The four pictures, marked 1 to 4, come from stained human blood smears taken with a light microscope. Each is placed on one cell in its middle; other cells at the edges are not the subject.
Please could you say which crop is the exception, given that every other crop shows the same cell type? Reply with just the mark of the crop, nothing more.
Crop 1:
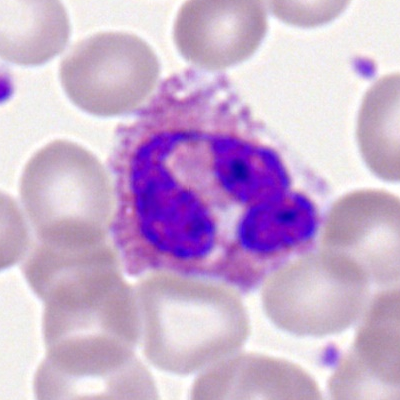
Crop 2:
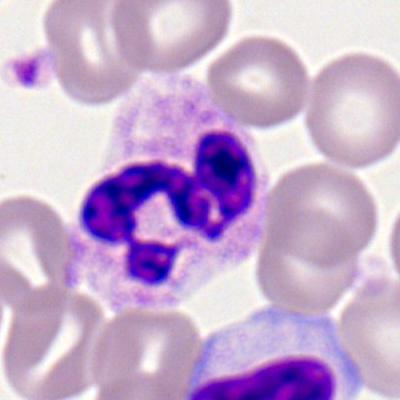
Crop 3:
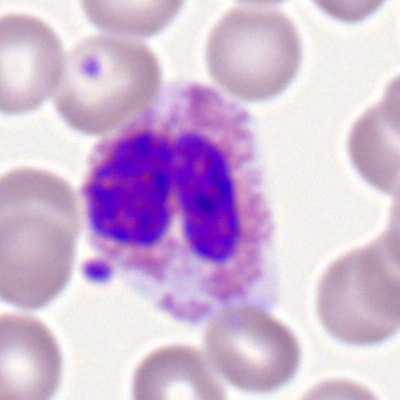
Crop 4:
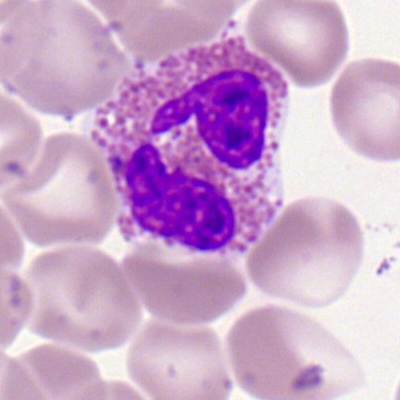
2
